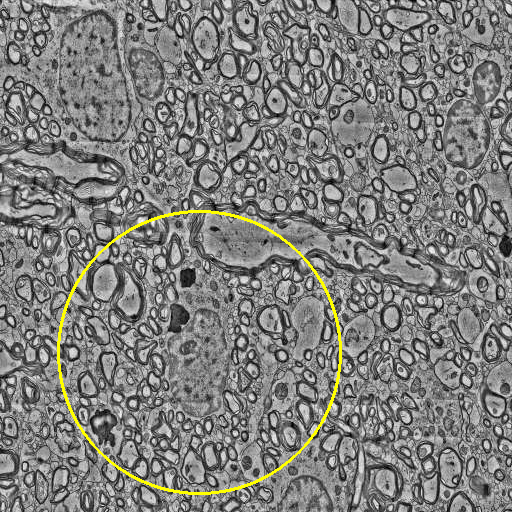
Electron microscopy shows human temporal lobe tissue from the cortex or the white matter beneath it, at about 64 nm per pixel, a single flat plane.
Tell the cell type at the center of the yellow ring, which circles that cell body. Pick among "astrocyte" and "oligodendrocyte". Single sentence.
The ring is centered on the body of an oligodendrocyte.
